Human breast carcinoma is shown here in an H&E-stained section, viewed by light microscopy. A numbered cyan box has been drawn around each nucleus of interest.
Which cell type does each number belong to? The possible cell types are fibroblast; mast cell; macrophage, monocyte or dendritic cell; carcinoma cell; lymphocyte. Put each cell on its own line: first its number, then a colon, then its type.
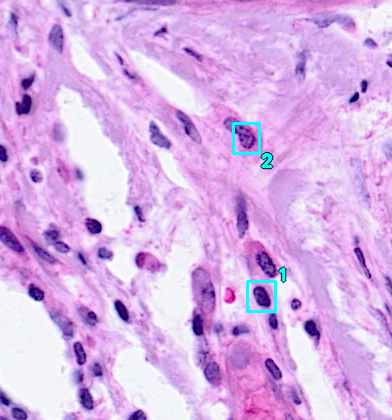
1: lymphocyte
2: mast cell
